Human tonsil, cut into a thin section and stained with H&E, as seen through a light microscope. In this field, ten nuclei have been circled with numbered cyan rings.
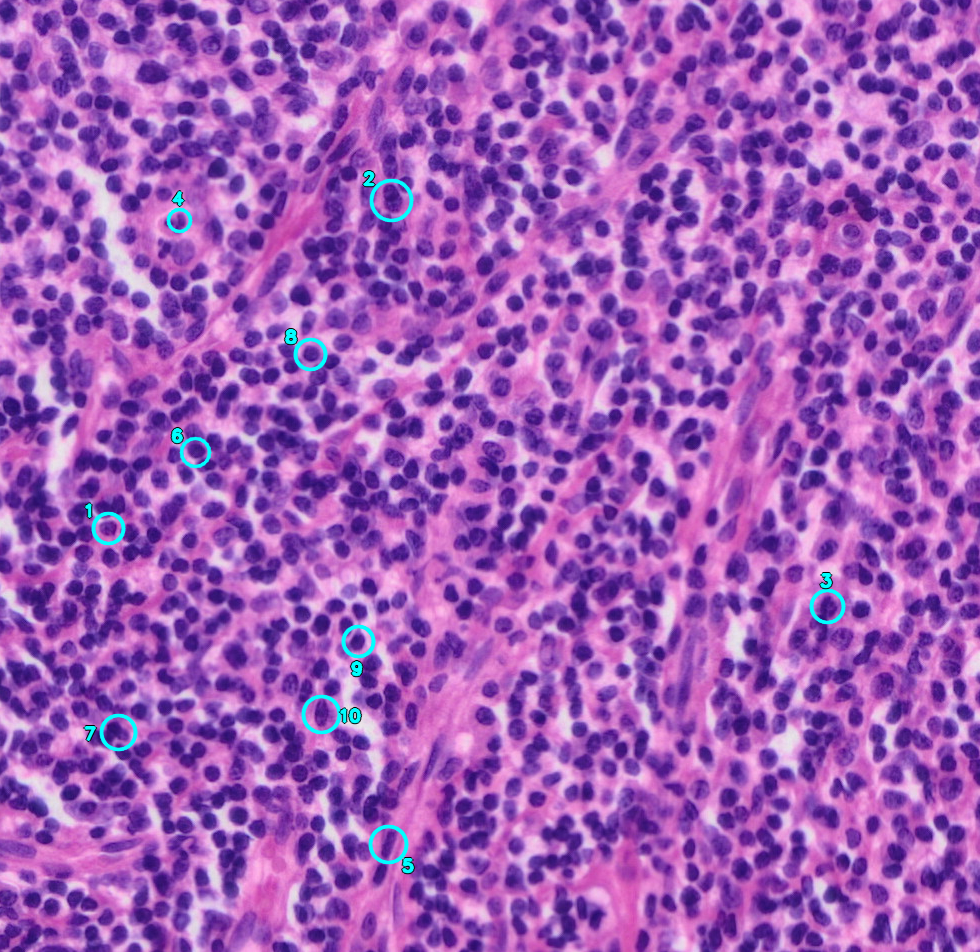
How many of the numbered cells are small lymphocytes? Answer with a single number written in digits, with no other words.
6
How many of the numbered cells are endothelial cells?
2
